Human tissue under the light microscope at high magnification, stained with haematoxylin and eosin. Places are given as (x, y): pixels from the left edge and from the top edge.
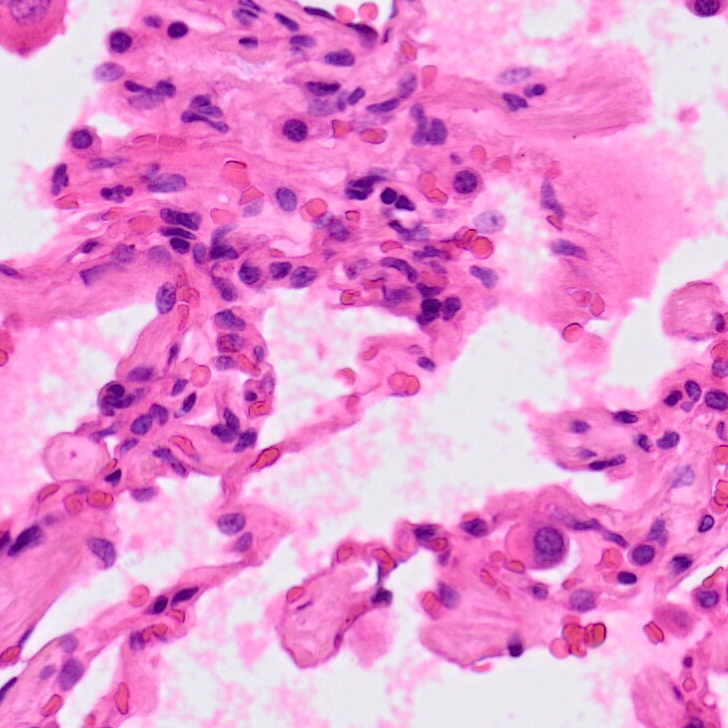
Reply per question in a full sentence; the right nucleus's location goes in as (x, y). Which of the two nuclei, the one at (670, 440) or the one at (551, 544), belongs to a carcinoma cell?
Answering which nucleus it is: the one at (551, 544), belonging to a carcinoma cell.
